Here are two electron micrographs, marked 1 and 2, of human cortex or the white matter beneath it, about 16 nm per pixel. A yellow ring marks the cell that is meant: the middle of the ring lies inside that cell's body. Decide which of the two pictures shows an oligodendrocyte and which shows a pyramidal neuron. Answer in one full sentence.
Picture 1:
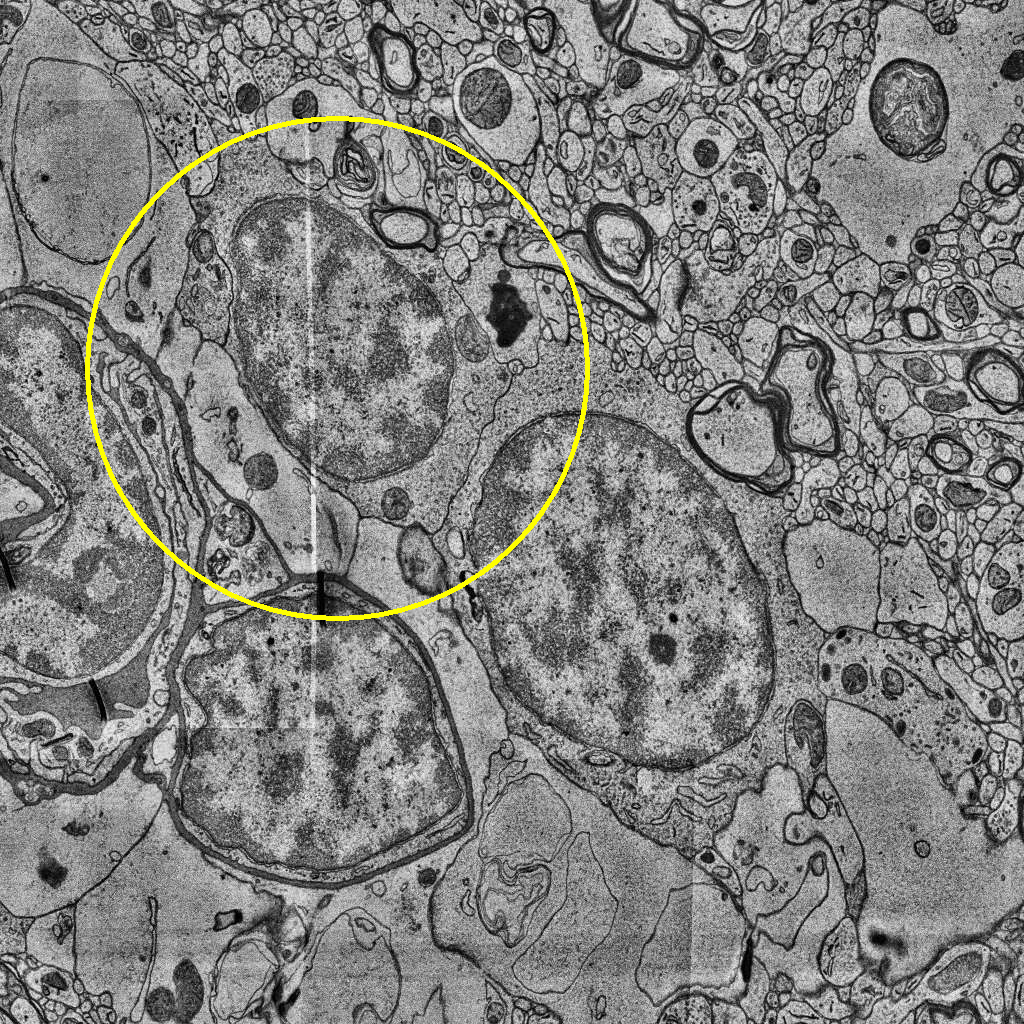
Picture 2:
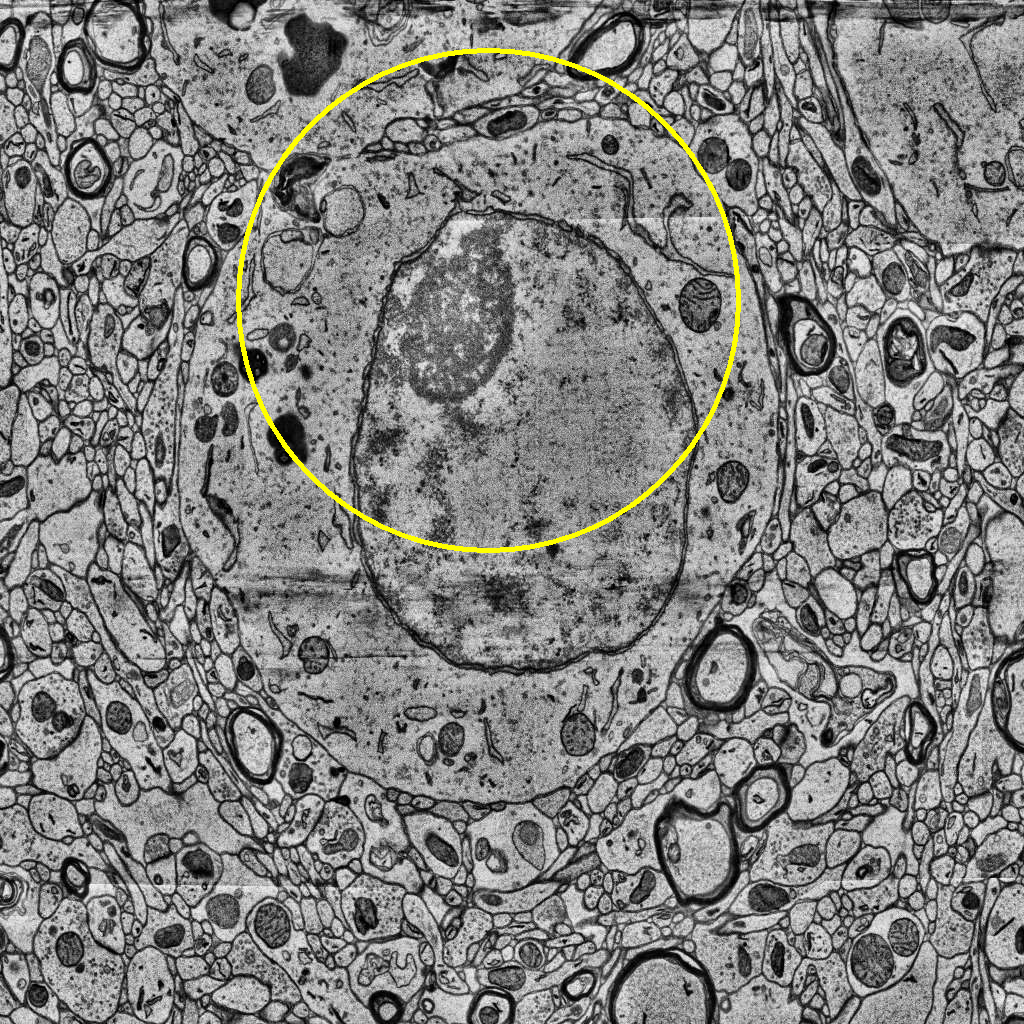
Picture 1 shows an oligodendrocyte and picture 2 shows a pyramidal neuron.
